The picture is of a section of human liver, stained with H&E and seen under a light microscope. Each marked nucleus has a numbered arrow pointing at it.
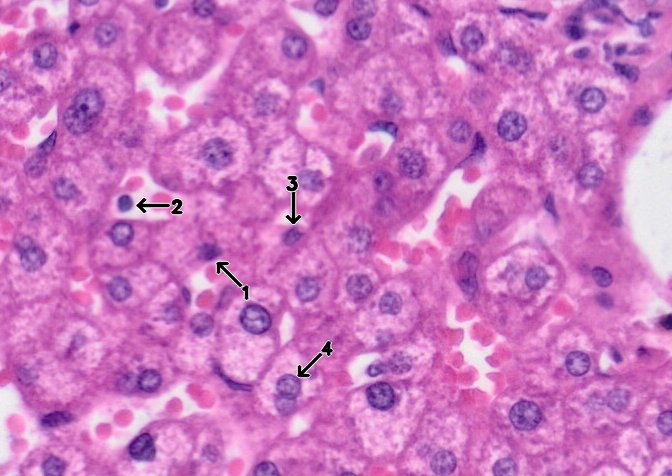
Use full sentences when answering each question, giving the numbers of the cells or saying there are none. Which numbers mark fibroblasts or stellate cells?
No marked cell except number 1 is a fibroblast or stellate cell.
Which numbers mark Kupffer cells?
The nucleus numbered 3 is the only one that belongs to a Kupffer cell.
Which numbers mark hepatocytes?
Of the numbered cells, only cell 4 is a hepatocyte.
